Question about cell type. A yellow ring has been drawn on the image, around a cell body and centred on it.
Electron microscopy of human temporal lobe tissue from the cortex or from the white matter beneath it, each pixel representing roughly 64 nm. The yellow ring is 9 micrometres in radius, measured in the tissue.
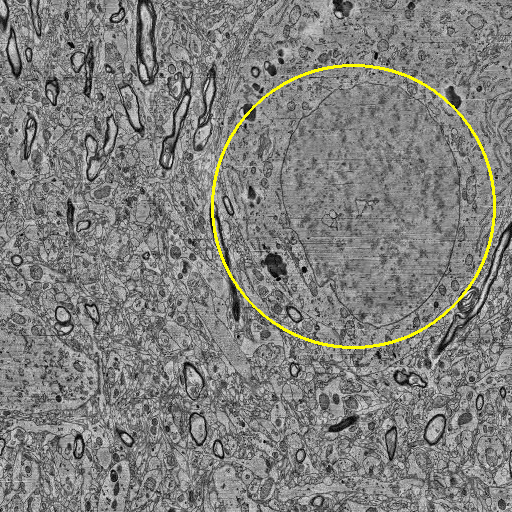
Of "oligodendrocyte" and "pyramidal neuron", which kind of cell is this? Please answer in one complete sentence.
At the centre of the ring lies a pyramidal neuron.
